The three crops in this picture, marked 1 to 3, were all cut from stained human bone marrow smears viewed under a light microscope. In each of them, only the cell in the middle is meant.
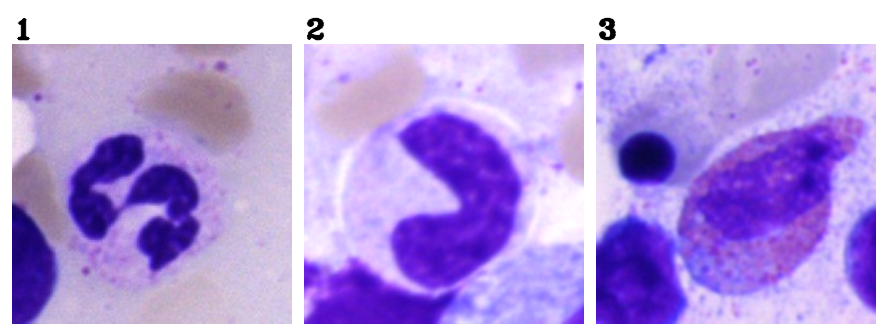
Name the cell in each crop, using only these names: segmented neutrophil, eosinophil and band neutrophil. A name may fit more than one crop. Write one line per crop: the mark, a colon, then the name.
1: segmented neutrophil
2: band neutrophil
3: eosinophil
